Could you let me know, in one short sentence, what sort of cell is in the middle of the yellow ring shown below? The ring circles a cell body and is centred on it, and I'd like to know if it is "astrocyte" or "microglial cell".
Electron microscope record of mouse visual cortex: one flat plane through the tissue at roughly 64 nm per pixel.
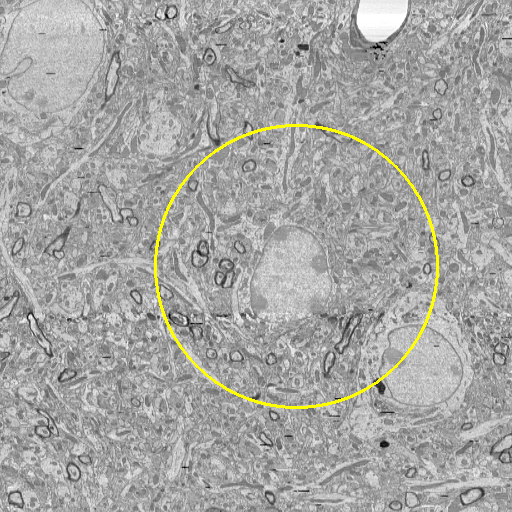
The ring circles the cell body of an astrocyte.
